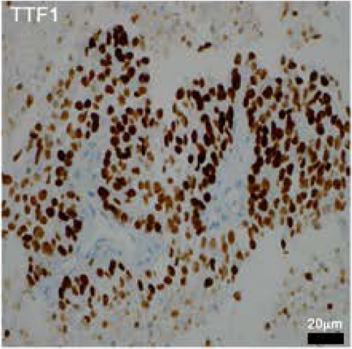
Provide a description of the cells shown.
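Nests and cords of crowded cells with large, rounded to oval nuclei stain an intense dark brown, the colour confined to the nuclei while the cytoplasm stays pale. The nests are separated by strands of pale blue-grey stroma containing a few small, blue-counterstained nuclei that lack the brown colour. Loose brown-nucleated cells also lie scattered at the edges of the nests. The brown nuclei are larger and more crowded than those of the stromal cells, marking them as tumor cells set within a fibrous background.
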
